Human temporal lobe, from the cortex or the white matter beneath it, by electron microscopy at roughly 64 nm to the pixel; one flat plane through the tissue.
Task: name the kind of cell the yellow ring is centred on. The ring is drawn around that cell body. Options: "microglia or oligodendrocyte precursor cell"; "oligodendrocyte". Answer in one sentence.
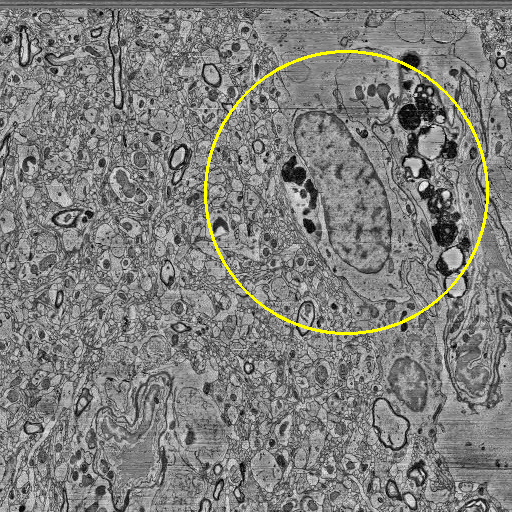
This cell body belongs to a microglial cell or oligodendrocyte precursor cell.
